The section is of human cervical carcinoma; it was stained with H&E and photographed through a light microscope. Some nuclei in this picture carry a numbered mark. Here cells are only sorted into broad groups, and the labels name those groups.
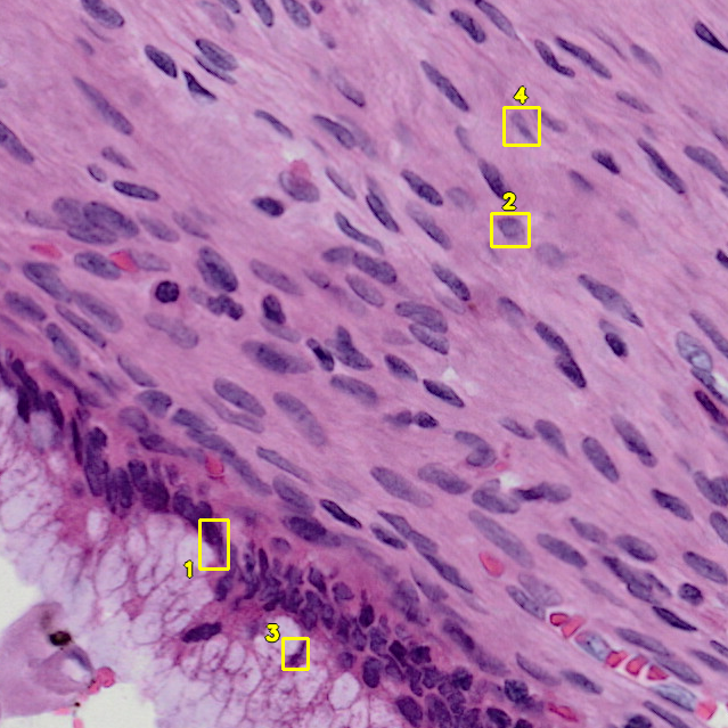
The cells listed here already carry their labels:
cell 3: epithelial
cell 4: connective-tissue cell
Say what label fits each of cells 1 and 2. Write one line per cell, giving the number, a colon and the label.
1: epithelial
2: connective-tissue cell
